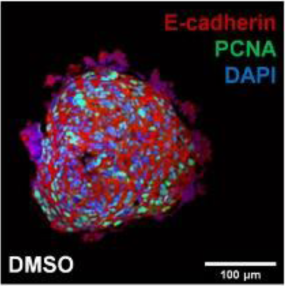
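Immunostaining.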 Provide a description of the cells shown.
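A large, densely packed multicellular mass is filled with cells whose borders are outlined in red, each with a blue nucleus, and a great many of these nuclei also show green throughout the mass. The cells are tightly packed without any hollow centre.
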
